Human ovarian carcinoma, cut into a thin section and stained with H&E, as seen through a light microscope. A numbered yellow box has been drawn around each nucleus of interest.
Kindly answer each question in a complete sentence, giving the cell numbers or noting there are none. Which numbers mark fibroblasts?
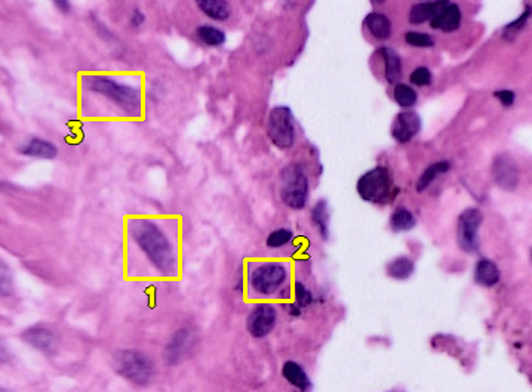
The cells marked 1 and 3 in the section are fibroblasts.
